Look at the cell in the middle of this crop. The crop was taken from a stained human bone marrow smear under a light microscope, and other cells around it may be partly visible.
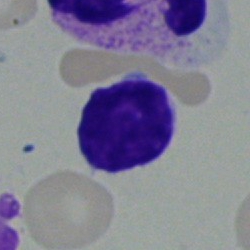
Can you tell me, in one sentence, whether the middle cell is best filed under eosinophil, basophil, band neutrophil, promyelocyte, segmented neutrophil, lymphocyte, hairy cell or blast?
Where the crop is centred, there is a lymphocyte.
